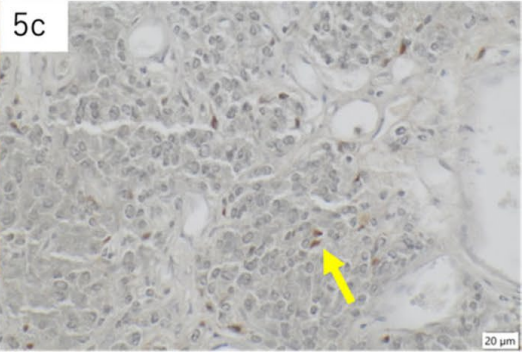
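Scattered small, slender cells with brown staining lie at the edges of the nests, one of them marked by an arrow. Clear empty spaces and thin stroma separate the nests.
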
